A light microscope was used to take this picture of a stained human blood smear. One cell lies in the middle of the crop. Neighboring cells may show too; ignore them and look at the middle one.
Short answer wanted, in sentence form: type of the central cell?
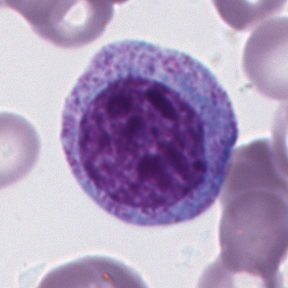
In the crop, the cell of interest at the centre is a promyelocyte.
